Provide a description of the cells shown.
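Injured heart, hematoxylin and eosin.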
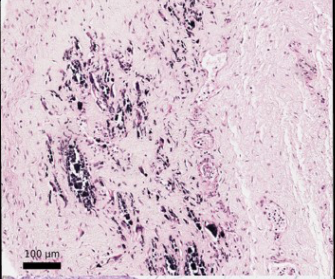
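Irregular, coarse dark purple-black deposits lie scattered in elongated streaks and clumps, some of them large and fragmented. The surrounding tissue is pale and loosely textured, with scattered small dark nuclei.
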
